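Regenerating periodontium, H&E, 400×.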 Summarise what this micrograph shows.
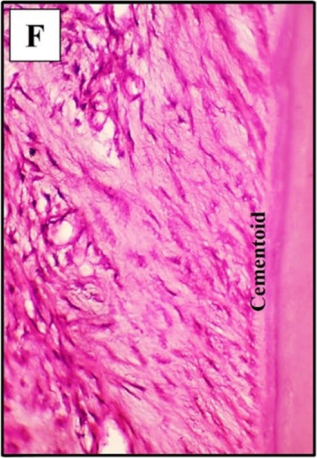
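A pink fibrous tissue with wavy, parallel fibre bundles runs obliquely towards a smooth pale pink band at the right edge. Many small dark nuclei lie scattered between the fibres, and several flattened cells sit close to the edge of the band. The fibres and cells are densely packed, with the fibres directed towards the band.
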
